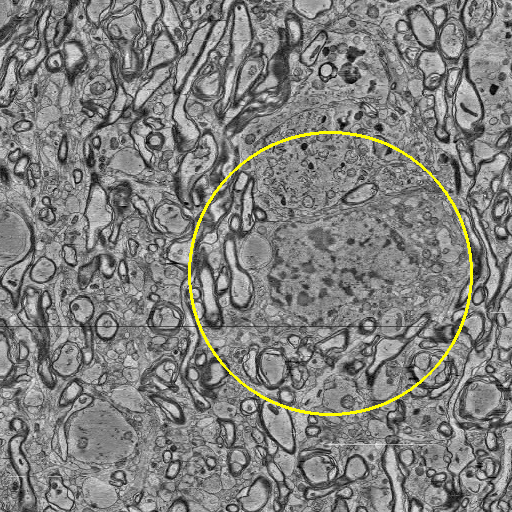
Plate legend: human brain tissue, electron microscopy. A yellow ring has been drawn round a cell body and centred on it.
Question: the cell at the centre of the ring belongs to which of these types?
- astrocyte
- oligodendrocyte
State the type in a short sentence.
The cell in the middle of the ring is an astrocyte.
